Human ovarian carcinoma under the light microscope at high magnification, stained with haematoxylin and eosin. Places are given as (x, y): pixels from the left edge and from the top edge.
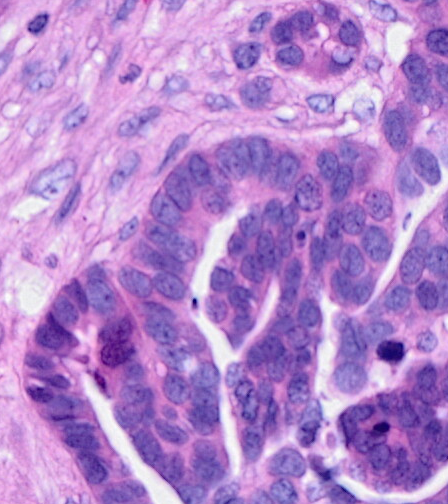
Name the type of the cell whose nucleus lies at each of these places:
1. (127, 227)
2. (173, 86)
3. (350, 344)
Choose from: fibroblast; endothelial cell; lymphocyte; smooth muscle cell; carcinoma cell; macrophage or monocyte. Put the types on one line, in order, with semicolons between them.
fibroblast; fibroblast; carcinoma cell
